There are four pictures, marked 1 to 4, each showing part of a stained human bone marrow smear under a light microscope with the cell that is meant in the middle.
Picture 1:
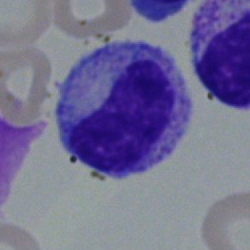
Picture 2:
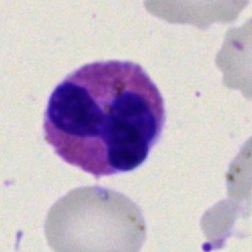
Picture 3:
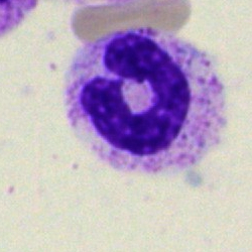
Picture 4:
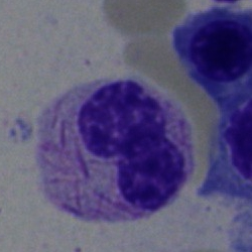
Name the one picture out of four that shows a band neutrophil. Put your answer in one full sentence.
The band neutrophil is the one in picture 3.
